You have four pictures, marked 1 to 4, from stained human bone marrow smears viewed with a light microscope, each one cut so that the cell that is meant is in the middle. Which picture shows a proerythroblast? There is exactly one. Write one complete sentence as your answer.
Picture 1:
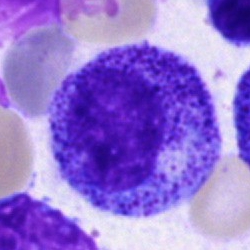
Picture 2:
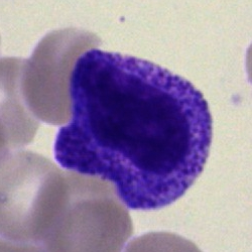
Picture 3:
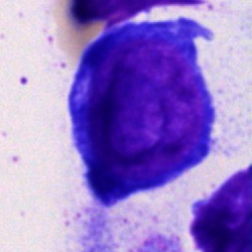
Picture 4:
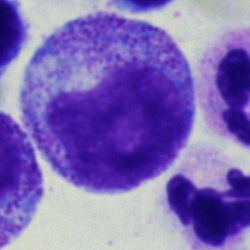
The cell in picture 3 is the proerythroblast.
